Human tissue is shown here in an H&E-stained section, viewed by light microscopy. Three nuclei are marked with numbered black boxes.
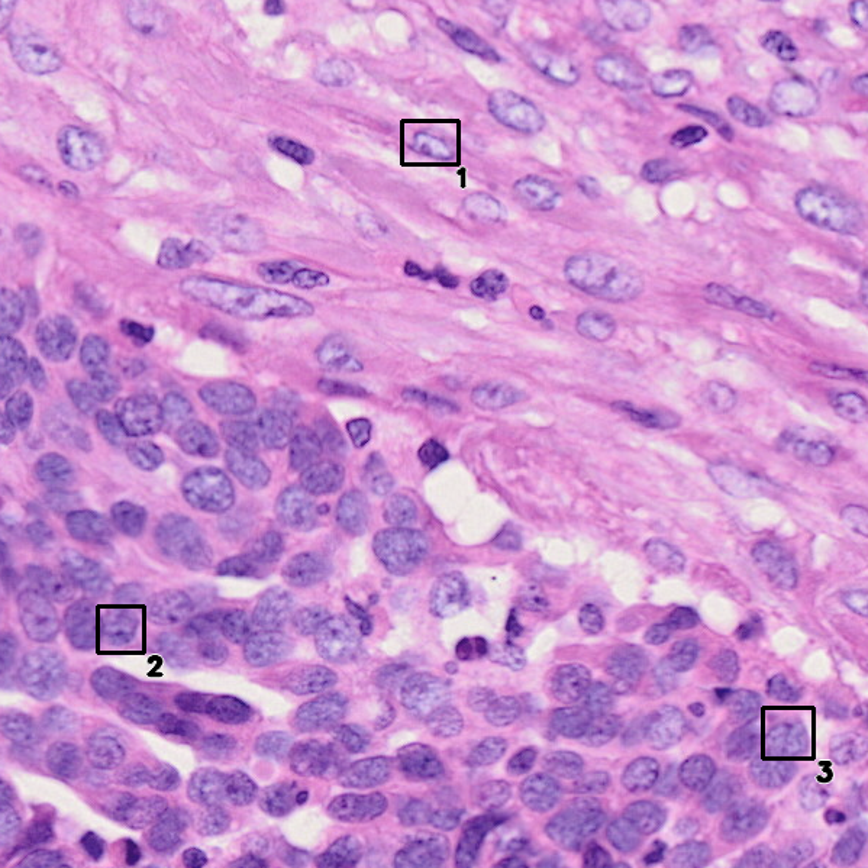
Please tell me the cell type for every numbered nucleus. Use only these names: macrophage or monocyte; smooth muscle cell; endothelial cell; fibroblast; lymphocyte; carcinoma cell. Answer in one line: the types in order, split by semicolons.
fibroblast; carcinoma cell; carcinoma cell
